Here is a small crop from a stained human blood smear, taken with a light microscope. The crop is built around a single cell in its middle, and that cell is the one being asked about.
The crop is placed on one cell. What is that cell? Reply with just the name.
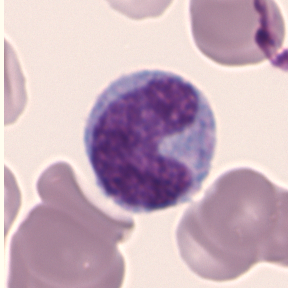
monocyte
